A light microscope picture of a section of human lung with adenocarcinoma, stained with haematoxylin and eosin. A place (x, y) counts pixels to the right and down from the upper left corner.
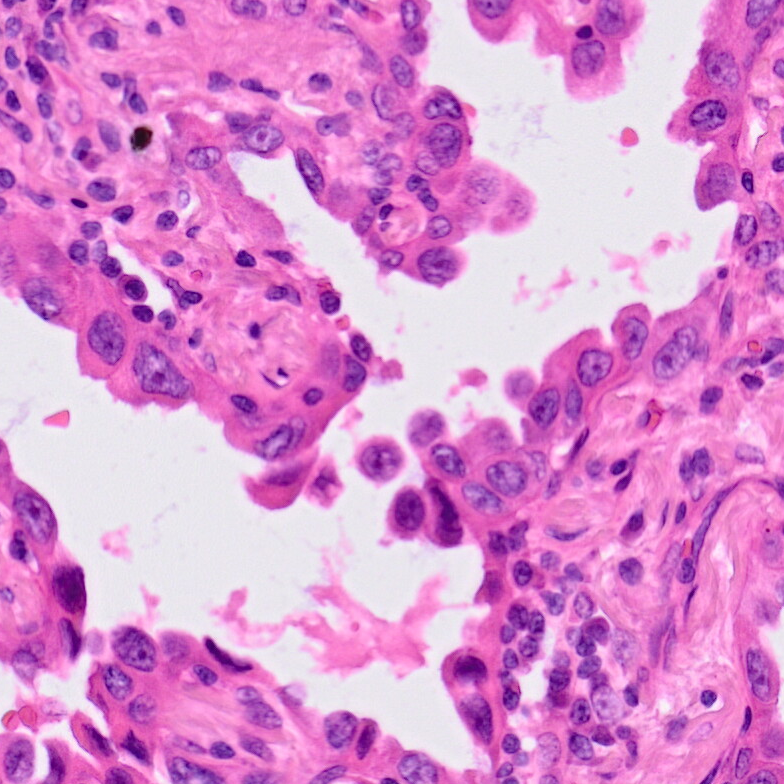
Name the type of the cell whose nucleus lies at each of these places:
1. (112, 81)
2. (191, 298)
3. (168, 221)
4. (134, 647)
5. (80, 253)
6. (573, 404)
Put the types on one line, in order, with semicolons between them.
lymphocyte; lymphocyte; lymphocyte; carcinoma cell; lymphocyte; carcinoma cell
